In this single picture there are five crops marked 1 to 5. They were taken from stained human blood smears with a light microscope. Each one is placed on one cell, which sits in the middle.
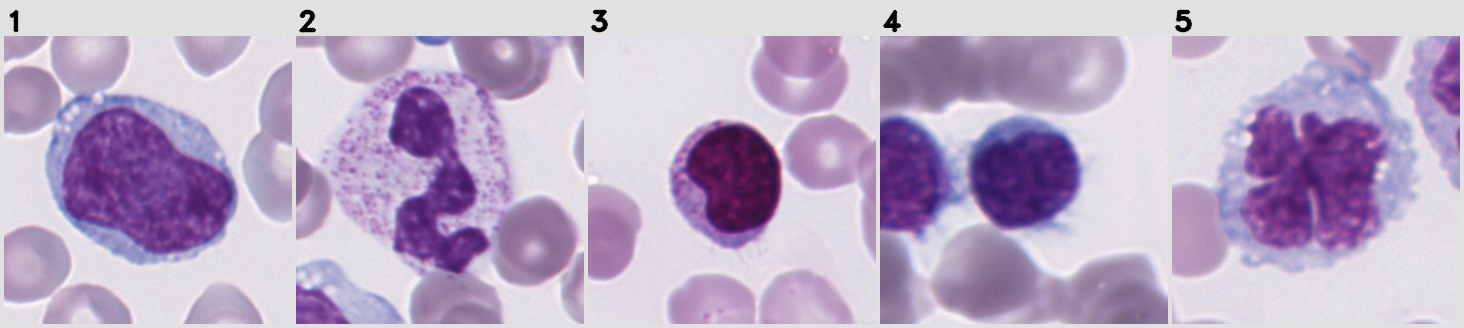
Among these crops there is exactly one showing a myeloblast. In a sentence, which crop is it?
Crop 1 is the crop featuring a myeloblast at its center.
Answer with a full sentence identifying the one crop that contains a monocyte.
The crop that shows a monocyte is crop 5.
